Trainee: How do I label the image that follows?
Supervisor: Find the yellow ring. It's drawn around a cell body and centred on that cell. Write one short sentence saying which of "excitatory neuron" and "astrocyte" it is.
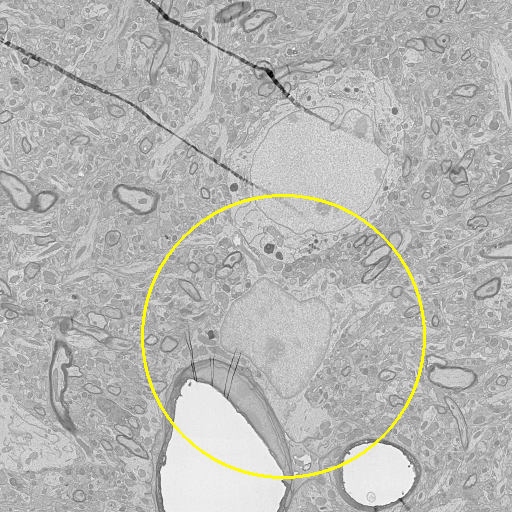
This is the cell body of an astrocyte.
